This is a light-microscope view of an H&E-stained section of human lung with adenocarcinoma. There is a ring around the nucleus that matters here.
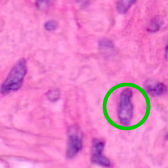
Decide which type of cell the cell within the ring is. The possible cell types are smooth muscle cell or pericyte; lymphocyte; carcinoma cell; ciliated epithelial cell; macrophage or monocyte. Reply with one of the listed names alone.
smooth muscle cell or pericyte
